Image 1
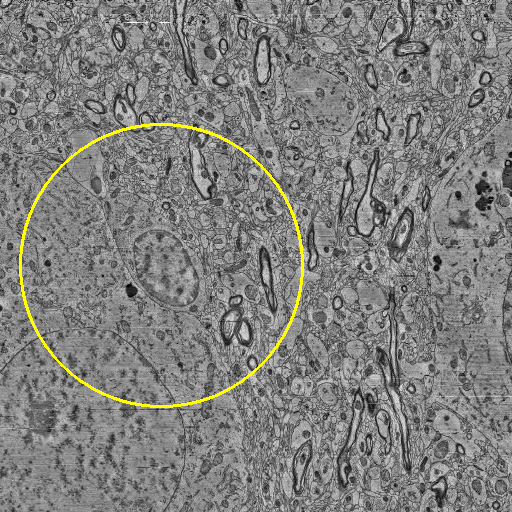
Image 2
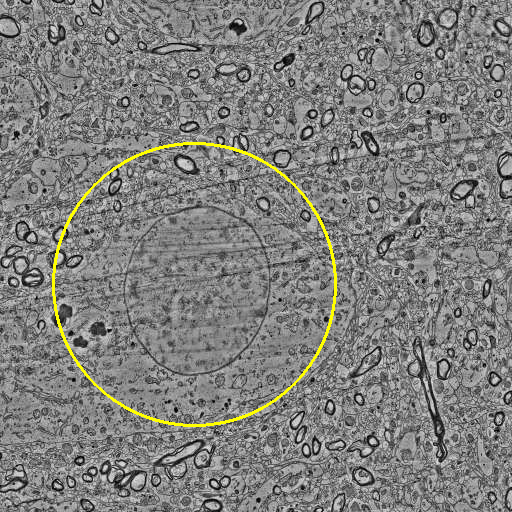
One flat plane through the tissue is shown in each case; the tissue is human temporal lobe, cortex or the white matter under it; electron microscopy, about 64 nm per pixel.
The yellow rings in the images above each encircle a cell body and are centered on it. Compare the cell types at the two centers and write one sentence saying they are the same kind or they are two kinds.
Taken together, the two cells at the ring centers are two kinds.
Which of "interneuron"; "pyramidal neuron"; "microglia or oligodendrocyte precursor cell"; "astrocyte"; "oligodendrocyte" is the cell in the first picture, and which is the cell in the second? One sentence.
The two differ: the first cell is an oligodendrocyte and the second is a pyramidal neuron.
